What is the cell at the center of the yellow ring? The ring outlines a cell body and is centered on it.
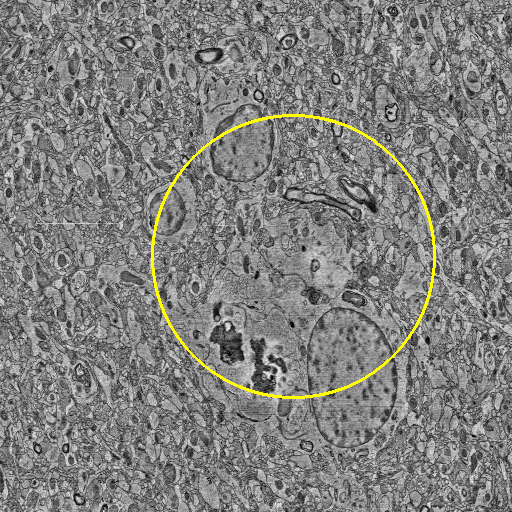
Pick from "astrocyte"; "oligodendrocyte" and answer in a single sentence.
The yellow ring is centered on an astrocyte.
